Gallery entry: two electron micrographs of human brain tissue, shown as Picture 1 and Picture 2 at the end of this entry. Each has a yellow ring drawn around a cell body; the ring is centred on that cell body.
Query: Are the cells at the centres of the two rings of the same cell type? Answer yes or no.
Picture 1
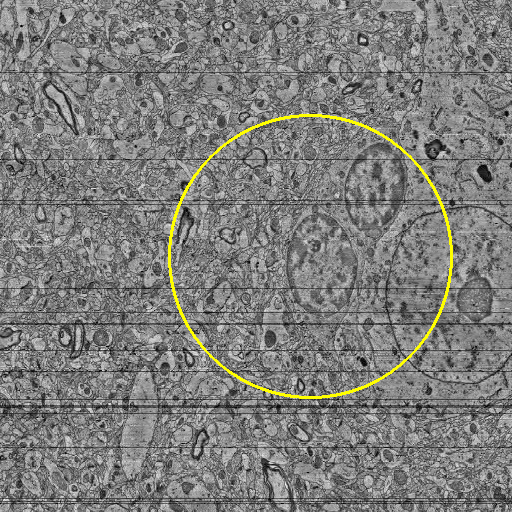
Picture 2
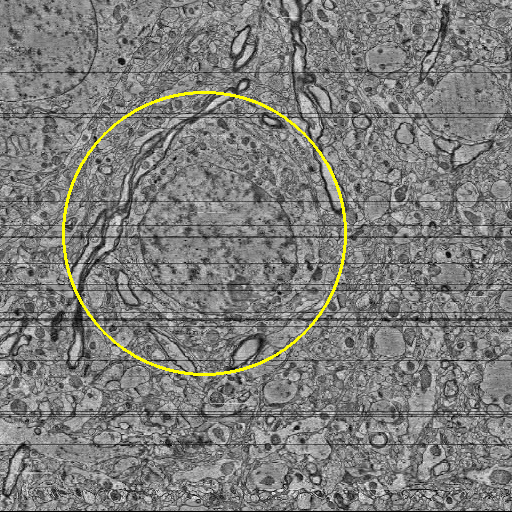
no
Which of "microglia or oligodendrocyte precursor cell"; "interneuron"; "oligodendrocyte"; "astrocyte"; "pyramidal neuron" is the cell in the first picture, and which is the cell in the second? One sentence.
The two differ: the first cell is an oligodendrocyte and the second is an interneuron.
